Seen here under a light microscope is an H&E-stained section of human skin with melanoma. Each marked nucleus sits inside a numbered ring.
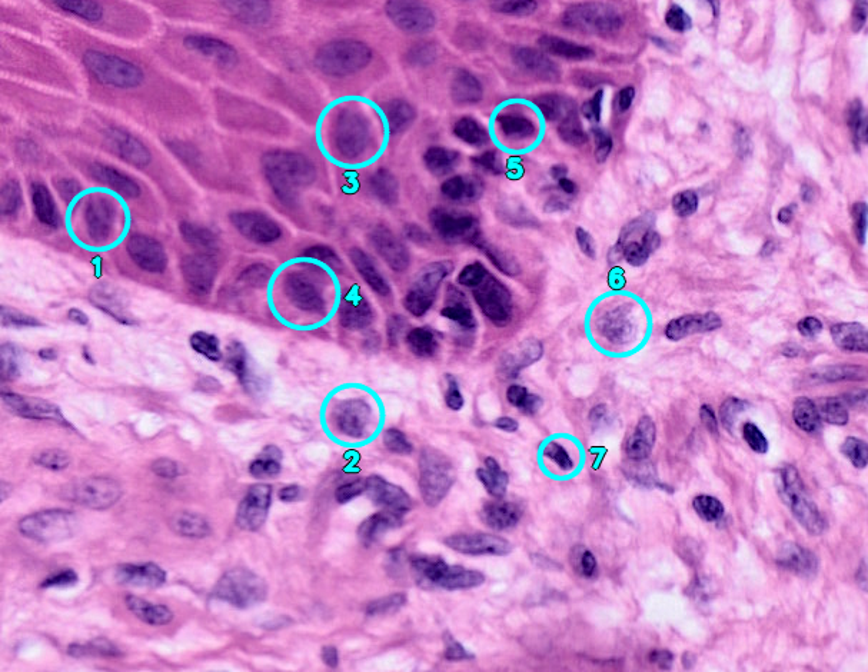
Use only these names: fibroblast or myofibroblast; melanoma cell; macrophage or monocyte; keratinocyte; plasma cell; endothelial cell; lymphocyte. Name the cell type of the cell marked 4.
keratinocyte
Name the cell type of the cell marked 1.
keratinocyte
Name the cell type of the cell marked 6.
fibroblast or myofibroblast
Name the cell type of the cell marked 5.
keratinocyte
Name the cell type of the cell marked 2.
fibroblast or myofibroblast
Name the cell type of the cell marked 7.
lymphocyte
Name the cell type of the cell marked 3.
keratinocyte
